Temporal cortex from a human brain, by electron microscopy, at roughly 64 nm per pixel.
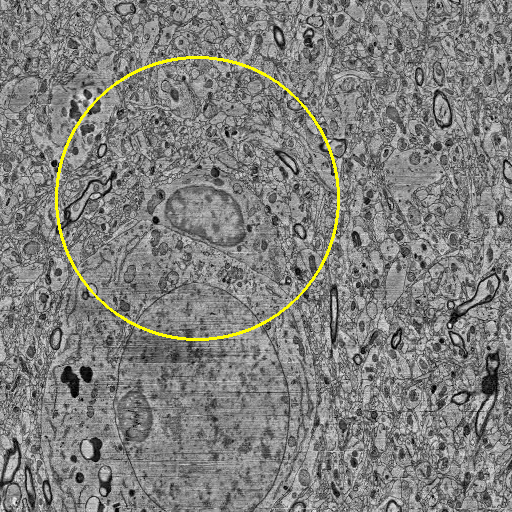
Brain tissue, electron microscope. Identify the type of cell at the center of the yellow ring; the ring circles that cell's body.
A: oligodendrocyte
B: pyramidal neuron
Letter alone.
A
